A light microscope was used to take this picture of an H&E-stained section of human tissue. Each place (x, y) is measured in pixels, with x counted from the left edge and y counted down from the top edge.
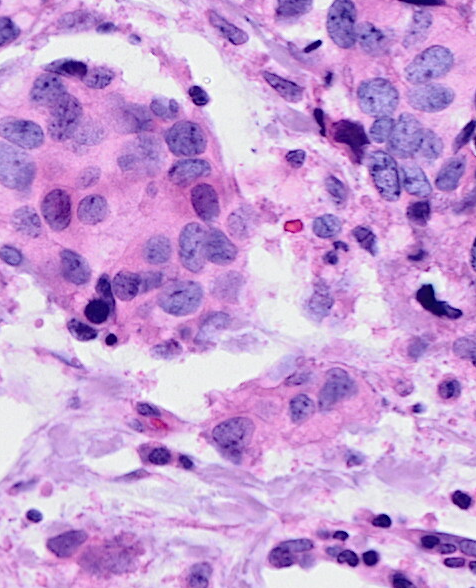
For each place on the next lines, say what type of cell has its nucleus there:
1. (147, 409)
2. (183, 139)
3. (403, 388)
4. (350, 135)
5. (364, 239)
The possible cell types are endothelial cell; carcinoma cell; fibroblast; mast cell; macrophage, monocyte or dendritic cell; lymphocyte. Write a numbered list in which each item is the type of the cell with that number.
1. endothelial cell
2. carcinoma cell
3. macrophage, monocyte or dendritic cell
4. carcinoma cell
5. macrophage, monocyte or dendritic cell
